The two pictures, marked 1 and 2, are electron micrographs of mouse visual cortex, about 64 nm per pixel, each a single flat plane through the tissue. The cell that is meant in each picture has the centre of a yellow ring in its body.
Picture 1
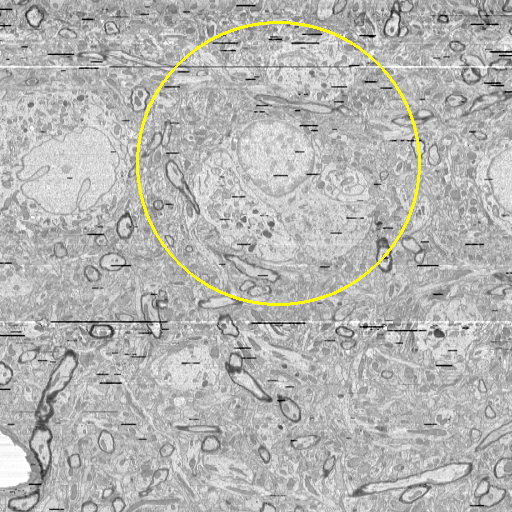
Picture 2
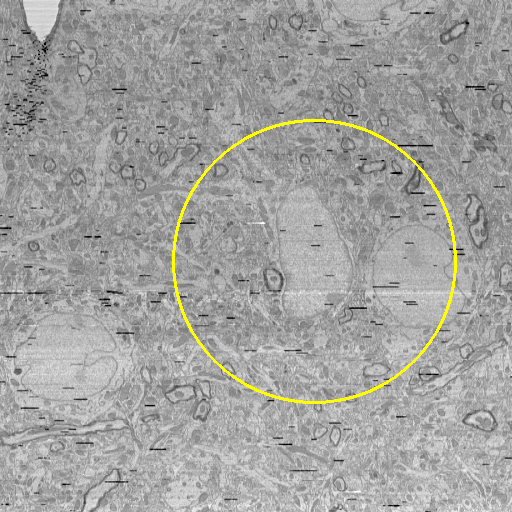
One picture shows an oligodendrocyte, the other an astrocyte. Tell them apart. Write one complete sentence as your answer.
In picture 1 the cell is an oligodendrocyte; in picture 2, an astrocyte.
